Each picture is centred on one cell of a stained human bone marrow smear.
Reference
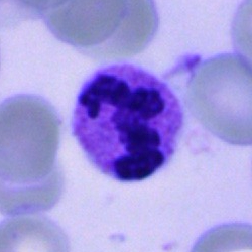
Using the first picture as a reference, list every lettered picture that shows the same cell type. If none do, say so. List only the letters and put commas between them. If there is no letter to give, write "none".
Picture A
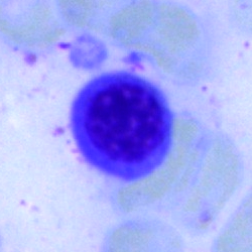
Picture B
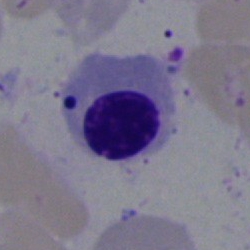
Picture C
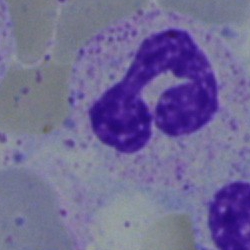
C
